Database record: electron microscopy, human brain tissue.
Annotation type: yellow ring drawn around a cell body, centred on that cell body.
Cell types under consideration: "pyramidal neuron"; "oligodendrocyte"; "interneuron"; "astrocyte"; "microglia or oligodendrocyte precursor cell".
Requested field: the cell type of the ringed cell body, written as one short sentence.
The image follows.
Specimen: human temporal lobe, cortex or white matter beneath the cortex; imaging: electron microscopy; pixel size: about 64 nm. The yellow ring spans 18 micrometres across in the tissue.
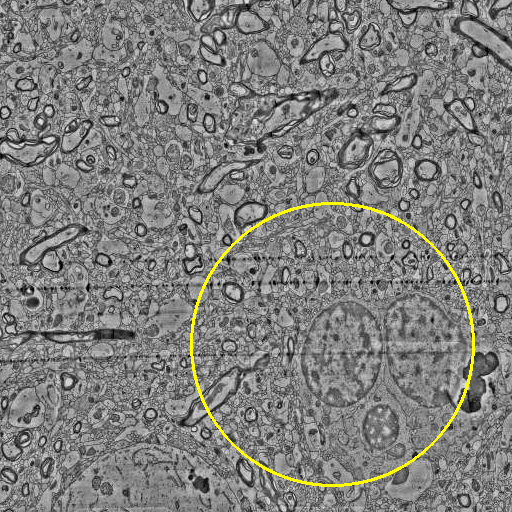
The ringed cell body represents an oligodendrocyte.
